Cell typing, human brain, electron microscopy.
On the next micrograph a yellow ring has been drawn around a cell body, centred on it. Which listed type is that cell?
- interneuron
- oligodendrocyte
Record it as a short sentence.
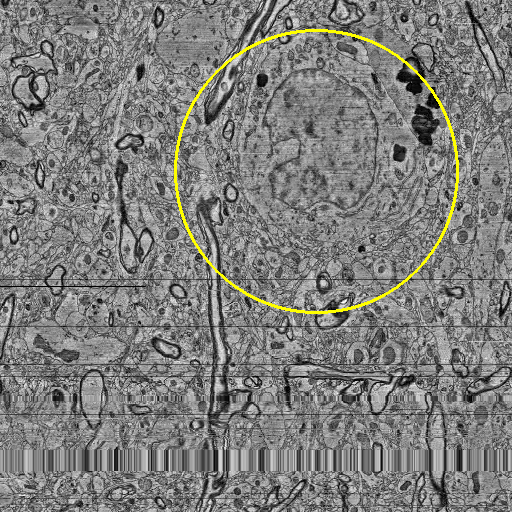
The cell body in the ring's centre belongs to an interneuron.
